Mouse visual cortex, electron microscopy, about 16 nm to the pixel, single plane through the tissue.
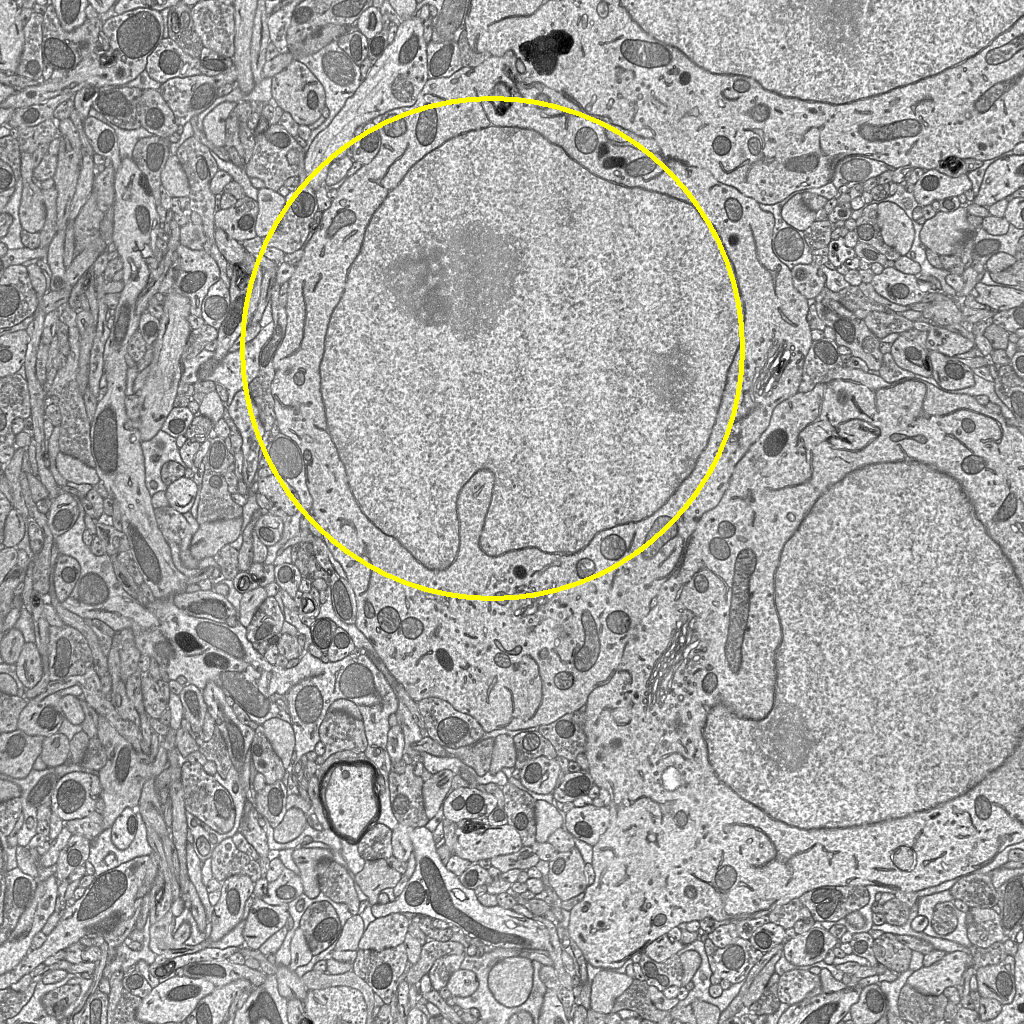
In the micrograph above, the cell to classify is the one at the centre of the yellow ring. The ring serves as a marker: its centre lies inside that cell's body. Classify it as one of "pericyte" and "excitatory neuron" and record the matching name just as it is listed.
excitatory neuron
